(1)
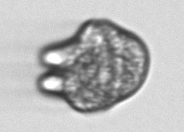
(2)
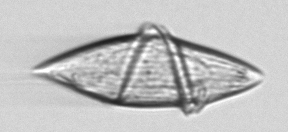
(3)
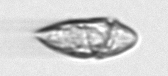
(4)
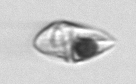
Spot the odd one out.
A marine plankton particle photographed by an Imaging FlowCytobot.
Picture 1 (Akashiwo among Gyrodinium).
